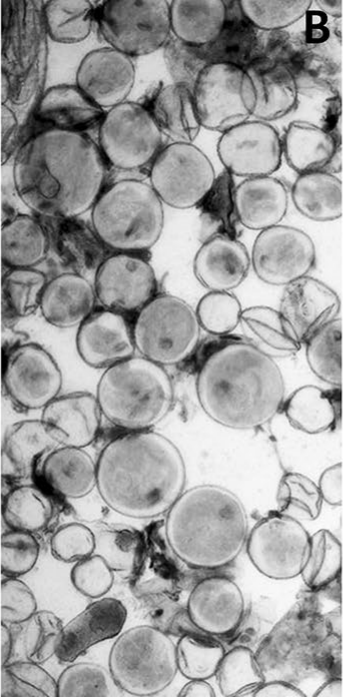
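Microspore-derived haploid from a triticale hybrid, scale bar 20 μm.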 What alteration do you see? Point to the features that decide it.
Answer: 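Noticeable differences in pollen grain size. Round grains range from small to about twice the diameter of others in the same field.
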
